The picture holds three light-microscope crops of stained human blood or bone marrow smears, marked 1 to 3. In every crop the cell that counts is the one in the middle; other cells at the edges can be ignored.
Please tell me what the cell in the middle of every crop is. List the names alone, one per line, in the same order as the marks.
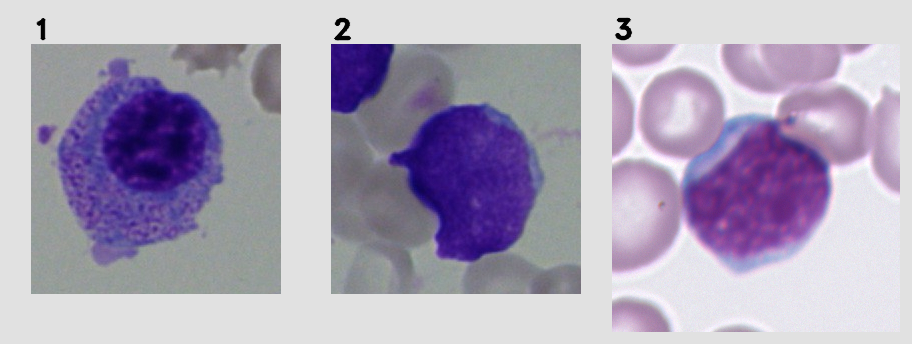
myelocyte
blast
blast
